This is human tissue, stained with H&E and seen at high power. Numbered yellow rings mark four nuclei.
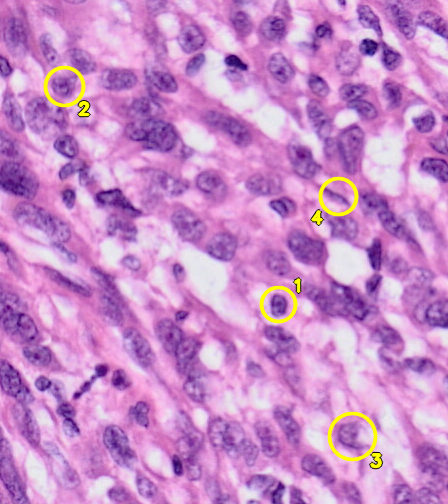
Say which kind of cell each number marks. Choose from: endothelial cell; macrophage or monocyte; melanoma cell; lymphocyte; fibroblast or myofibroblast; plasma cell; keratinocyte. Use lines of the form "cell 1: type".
cell 1: lymphocyte
cell 2: melanoma cell
cell 3: melanoma cell
cell 4: melanoma cell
